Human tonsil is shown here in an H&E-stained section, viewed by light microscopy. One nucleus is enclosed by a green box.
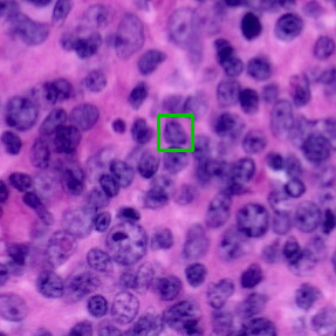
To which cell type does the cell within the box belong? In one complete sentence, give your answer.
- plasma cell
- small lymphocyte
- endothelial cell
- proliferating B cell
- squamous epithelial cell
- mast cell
In short, the cell within the box on this section is a proliferating B cell.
